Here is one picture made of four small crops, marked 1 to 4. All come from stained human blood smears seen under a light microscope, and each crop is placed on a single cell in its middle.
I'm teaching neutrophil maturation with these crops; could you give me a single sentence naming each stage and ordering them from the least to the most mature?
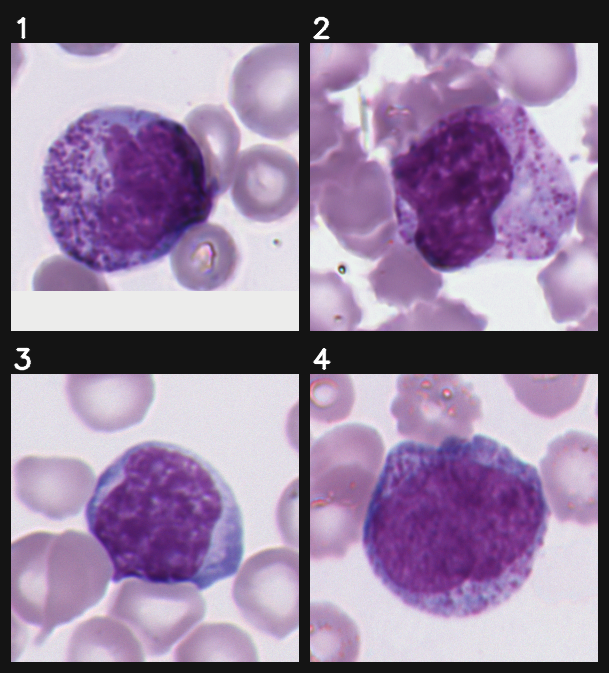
Along a scale from least to most mature, the order is crop 3 (a myeloblast), crop 4 (a promyelocyte), crop 1 (a myelocyte) and crop 2 (a metamyelocyte).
